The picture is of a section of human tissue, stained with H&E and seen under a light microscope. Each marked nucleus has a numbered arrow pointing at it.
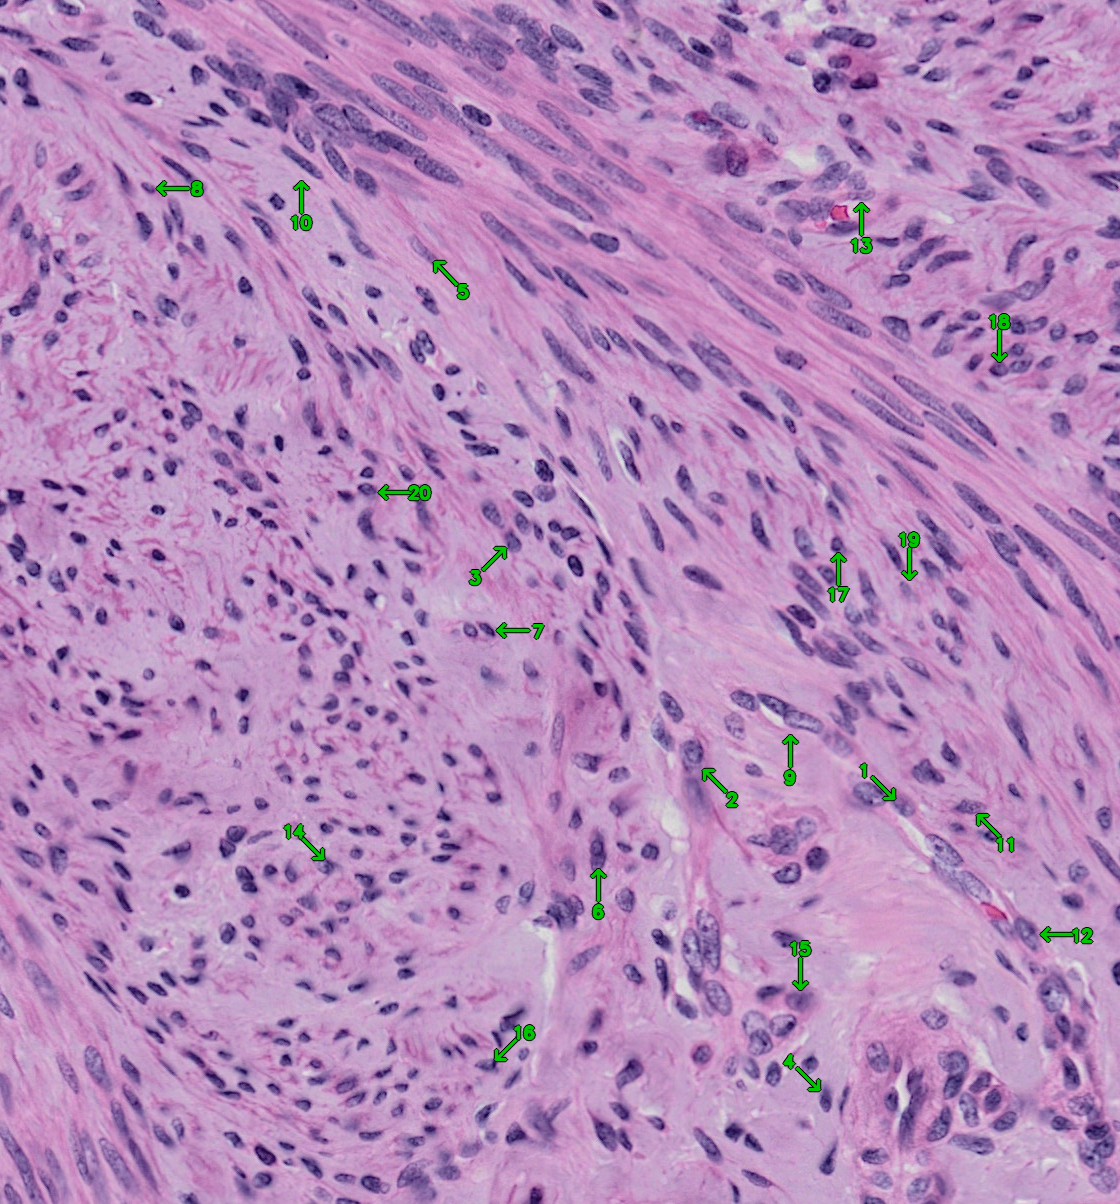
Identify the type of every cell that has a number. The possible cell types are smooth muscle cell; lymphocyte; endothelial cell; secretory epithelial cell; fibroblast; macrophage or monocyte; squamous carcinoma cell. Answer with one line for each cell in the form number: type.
1: endothelial cell
2: endothelial cell
3: smooth muscle cell
4: fibroblast
5: smooth muscle cell
6: smooth muscle cell
7: smooth muscle cell
8: smooth muscle cell
9: endothelial cell
10: fibroblast
11: smooth muscle cell
12: endothelial cell
13: endothelial cell
14: smooth muscle cell
15: endothelial cell
16: fibroblast
17: smooth muscle cell
18: smooth muscle cell
19: smooth muscle cell
20: smooth muscle cell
